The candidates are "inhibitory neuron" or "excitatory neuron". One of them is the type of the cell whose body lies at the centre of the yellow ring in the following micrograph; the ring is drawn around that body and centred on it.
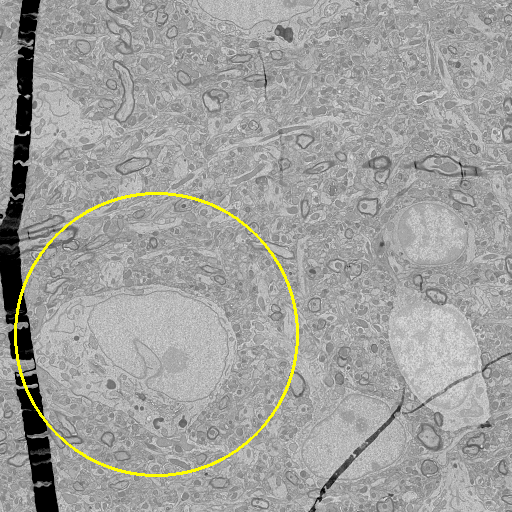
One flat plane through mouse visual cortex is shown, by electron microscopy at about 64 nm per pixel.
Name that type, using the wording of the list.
inhibitory neuron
